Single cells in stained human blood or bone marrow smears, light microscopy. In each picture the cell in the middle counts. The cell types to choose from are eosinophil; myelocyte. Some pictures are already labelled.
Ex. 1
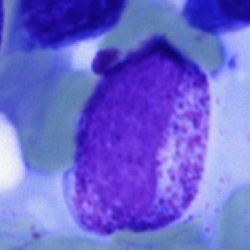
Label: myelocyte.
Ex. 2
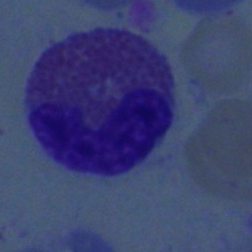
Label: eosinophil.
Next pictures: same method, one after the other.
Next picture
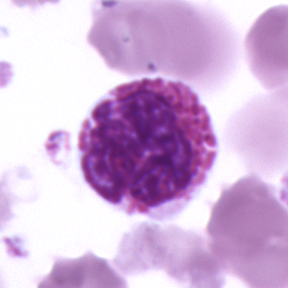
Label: eosinophil.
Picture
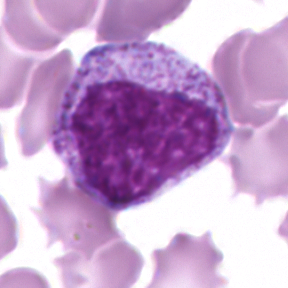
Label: myelocyte.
